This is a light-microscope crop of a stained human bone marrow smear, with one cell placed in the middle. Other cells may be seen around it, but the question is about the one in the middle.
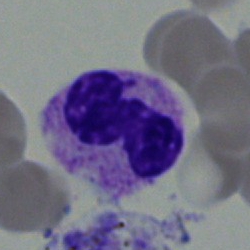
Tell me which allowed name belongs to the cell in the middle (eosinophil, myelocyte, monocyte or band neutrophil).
band neutrophil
